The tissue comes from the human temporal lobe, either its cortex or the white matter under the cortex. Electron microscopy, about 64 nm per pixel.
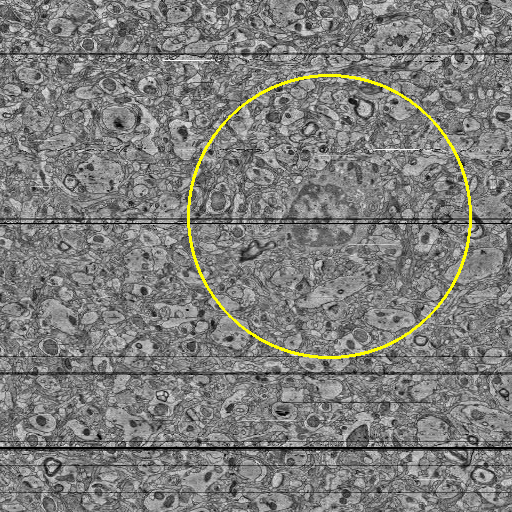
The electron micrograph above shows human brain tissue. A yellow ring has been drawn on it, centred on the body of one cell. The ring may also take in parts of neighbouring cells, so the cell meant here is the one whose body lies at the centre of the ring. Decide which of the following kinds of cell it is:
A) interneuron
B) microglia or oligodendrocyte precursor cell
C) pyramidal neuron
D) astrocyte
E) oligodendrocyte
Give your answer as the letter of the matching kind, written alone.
E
